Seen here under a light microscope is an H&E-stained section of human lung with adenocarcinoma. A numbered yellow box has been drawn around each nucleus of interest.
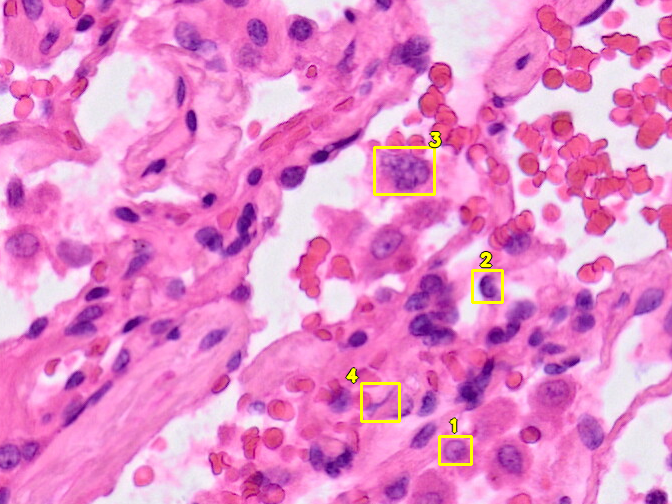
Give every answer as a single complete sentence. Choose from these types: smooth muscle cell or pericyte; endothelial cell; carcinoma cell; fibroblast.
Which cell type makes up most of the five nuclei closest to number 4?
Around number 4, most of the five nearest nuclei are those of fibroblasts.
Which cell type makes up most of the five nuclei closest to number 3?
Endothelial cells account for more than half of the five nuclei nearest to number 3.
